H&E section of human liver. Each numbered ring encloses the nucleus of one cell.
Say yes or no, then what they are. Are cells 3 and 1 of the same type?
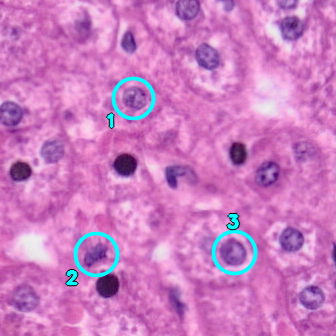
Yes, both cell 3 and cell 1 count among the hepatocytes.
